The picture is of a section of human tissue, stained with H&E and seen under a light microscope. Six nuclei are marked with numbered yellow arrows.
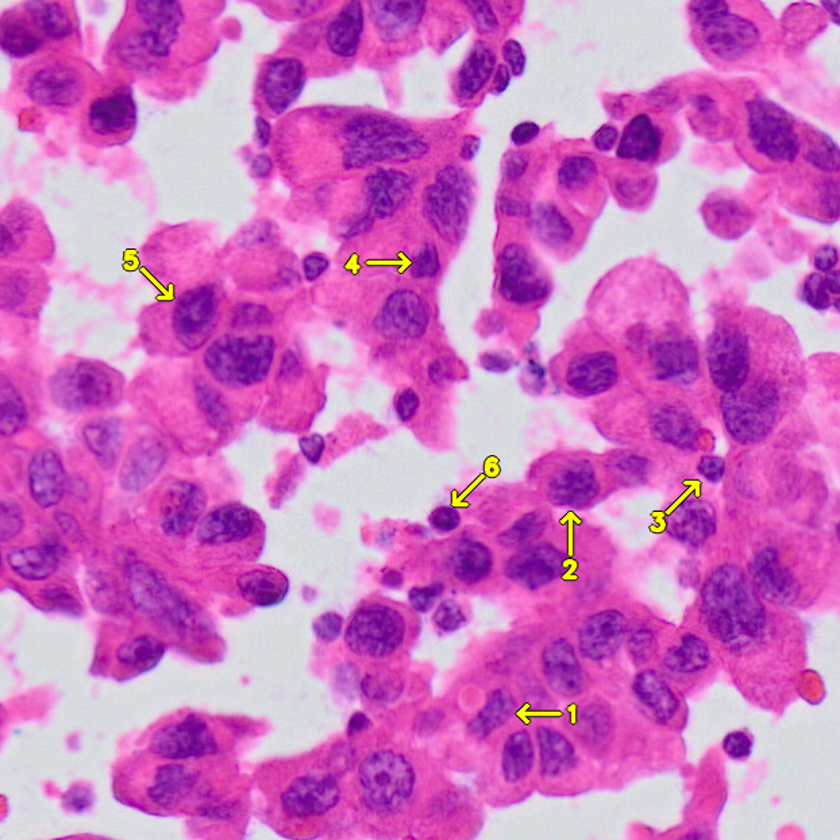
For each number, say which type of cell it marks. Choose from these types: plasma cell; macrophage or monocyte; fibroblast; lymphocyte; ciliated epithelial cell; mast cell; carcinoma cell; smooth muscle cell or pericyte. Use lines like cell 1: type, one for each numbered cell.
cell 1: carcinoma cell
cell 2: carcinoma cell
cell 3: lymphocyte
cell 4: carcinoma cell
cell 5: carcinoma cell
cell 6: lymphocyte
